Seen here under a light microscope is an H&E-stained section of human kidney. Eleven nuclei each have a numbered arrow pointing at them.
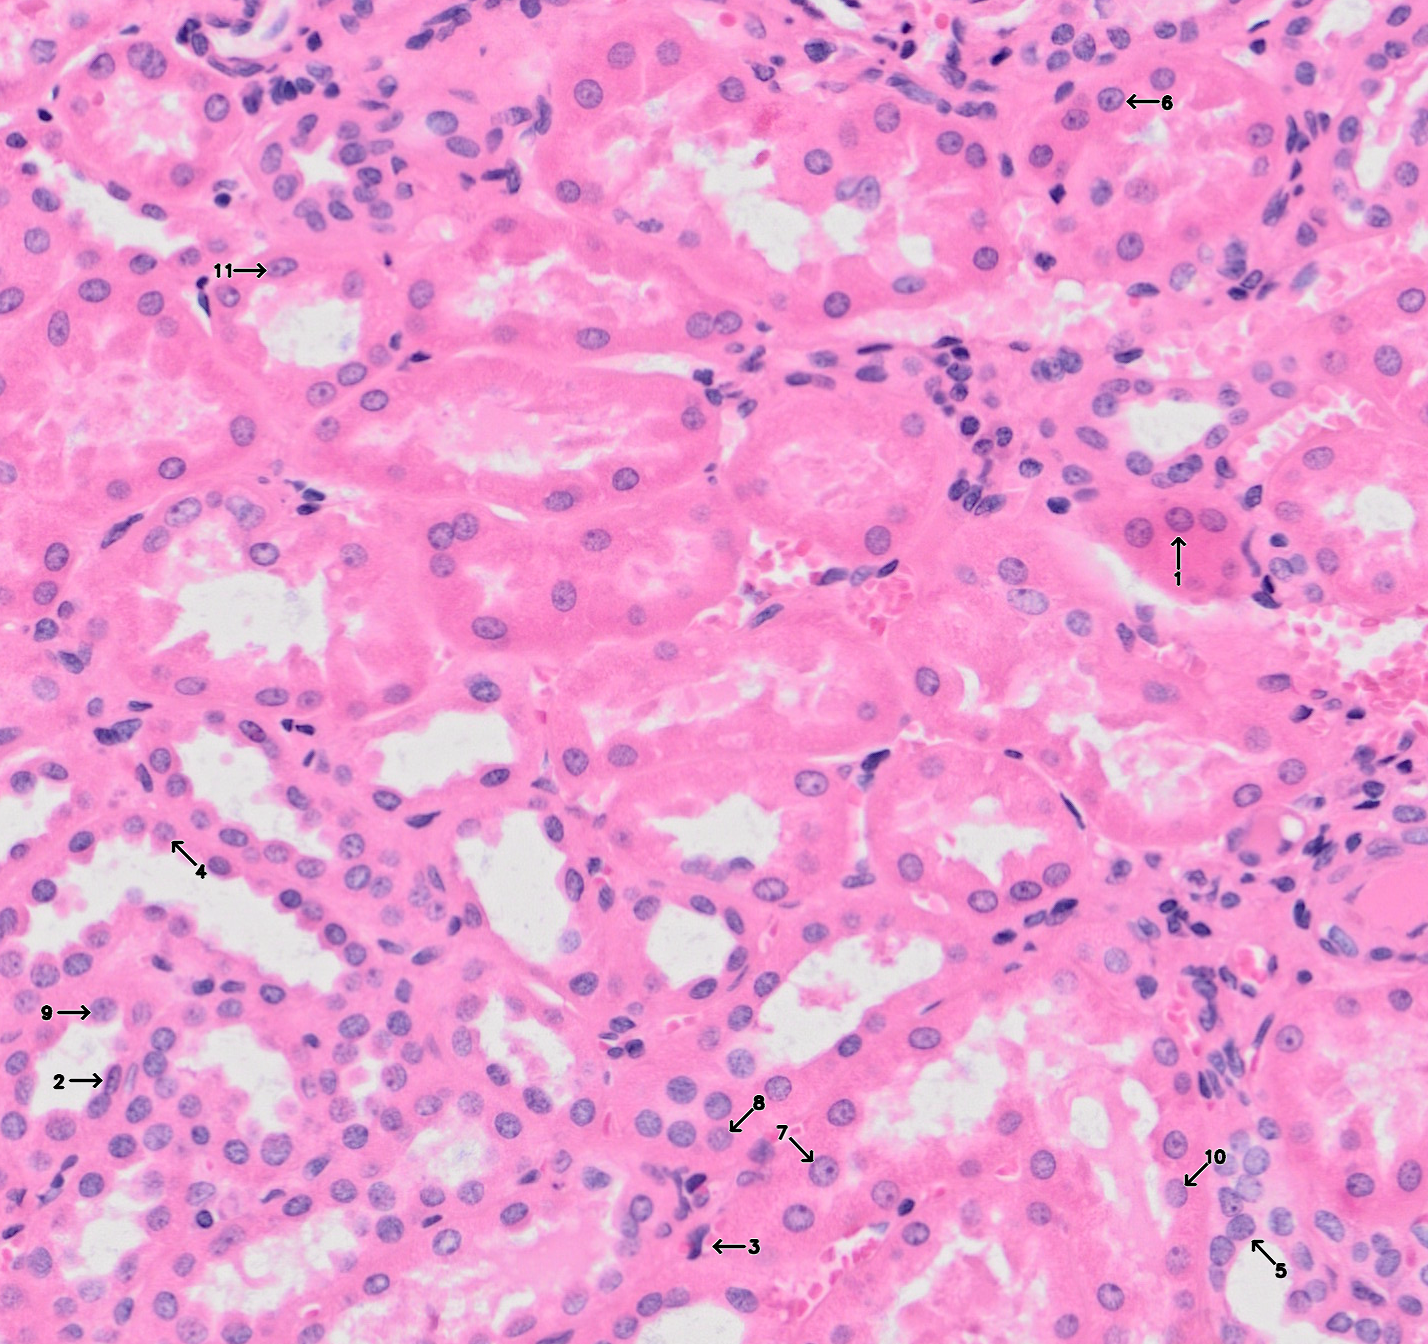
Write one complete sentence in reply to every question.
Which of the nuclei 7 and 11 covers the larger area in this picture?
Number 7 is larger; its area is about 1.5 times that of number 11.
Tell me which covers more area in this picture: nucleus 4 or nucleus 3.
The larger nucleus is 3, at roughly 2 times the area of 4.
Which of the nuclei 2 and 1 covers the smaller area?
Nucleus 2 is the smaller one; nucleus 1 covers about 1.5 times its area.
